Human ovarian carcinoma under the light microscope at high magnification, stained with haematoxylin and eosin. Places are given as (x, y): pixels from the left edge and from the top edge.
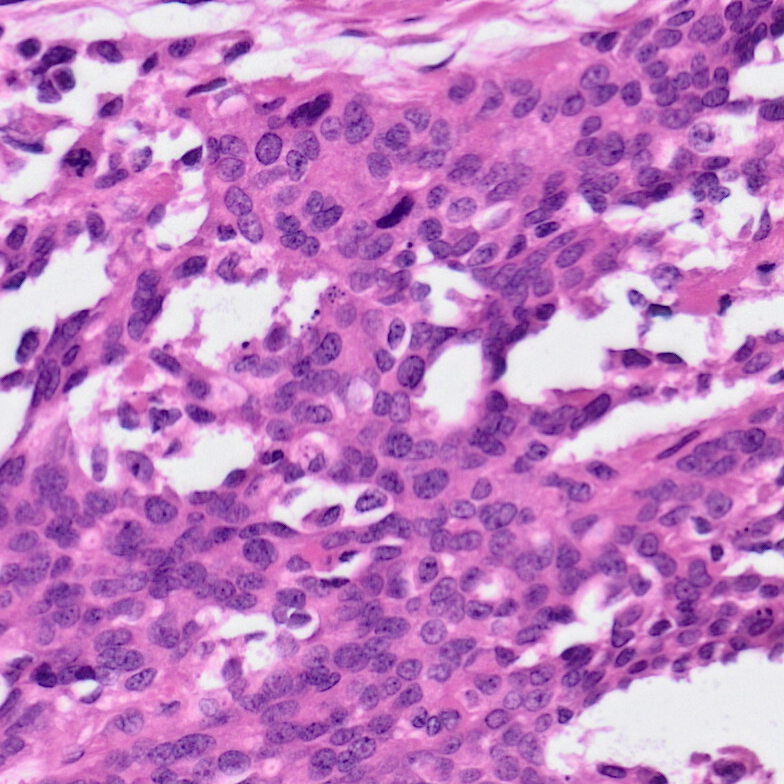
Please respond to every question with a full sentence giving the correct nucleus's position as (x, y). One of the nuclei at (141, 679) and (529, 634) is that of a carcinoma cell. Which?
The nucleus at (529, 634) is part of a carcinoma cell, while the other is not.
